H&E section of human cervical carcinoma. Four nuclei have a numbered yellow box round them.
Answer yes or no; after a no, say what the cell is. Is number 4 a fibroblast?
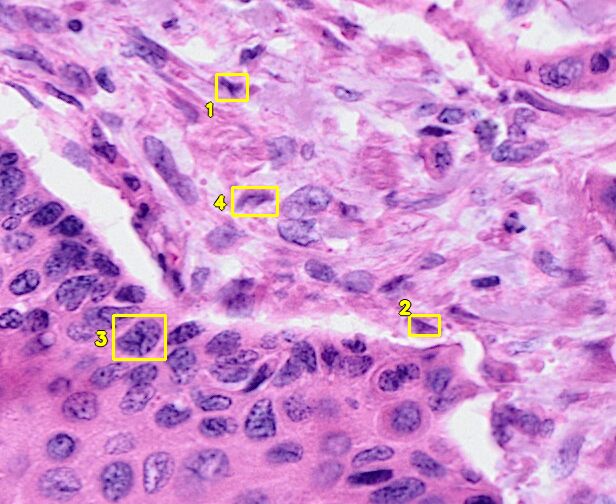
Yes.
